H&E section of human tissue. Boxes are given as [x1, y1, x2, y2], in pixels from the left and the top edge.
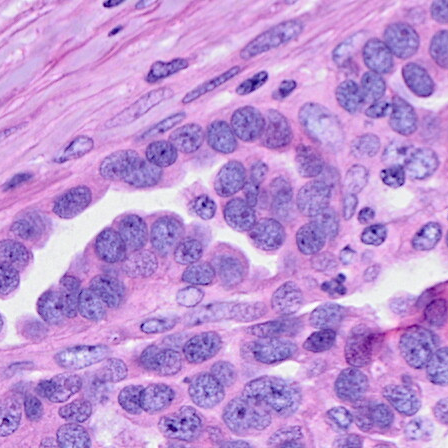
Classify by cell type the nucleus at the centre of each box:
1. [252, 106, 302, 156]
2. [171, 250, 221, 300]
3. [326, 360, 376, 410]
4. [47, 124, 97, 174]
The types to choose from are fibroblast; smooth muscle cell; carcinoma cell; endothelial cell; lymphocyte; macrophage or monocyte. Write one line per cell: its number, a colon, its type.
1: carcinoma cell
2: carcinoma cell
3: carcinoma cell
4: fibroblast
